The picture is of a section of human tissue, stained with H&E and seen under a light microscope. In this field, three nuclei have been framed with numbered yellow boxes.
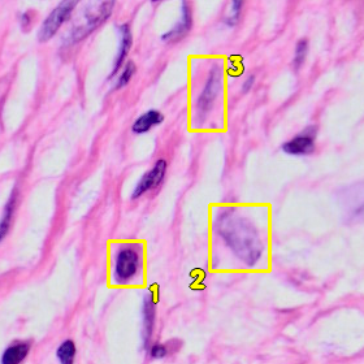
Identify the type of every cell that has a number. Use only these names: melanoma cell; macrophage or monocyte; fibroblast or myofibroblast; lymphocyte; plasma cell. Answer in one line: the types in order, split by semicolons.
plasma cell; fibroblast or myofibroblast; fibroblast or myofibroblast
